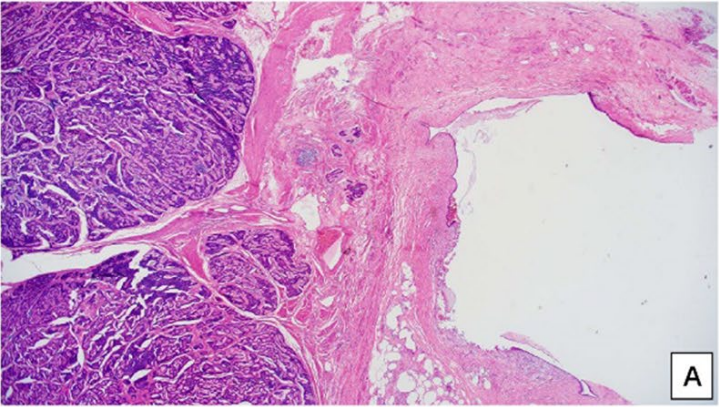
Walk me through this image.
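Low-power view with a cellular tumour on the left next to a cystic component on the right. On the left, large nodules of densely packed, purple-staining cells are divided by thin pink fibrous septa. On the right, a fibrous cyst wall with some fat cells and small clusters of glands borders an empty cyst lumen. A band of pink collagen separates the two parts.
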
